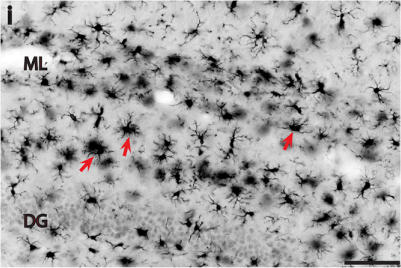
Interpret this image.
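Hippocampal tissue with a pale band of densely packed granule cell nuclei at the bottom and the molecular layer above it. The cells have enlarged, heavily stained bodies from which many short, thick, densely branching processes spring, giving them a bushy look; neighbouring cells come close together. The cells are denser and darker than resting microglia, whose thin, delicate branches would be widely spaced.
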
